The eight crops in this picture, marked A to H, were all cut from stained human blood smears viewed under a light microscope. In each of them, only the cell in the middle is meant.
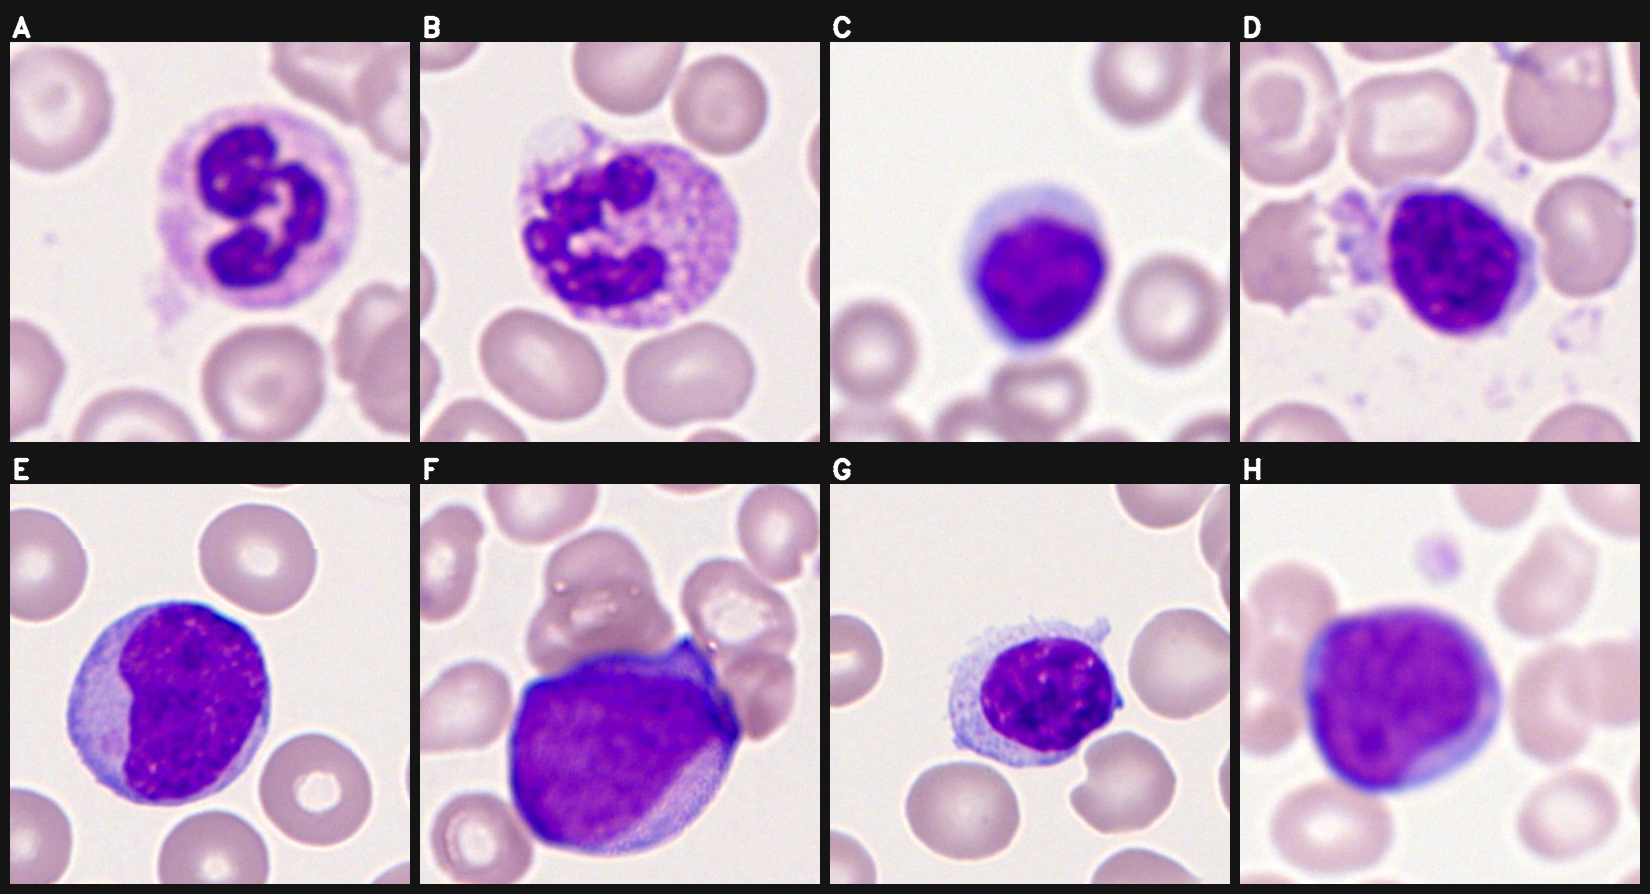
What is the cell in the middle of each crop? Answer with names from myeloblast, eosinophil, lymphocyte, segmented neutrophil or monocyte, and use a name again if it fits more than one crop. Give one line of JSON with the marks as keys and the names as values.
{"A": "segmented neutrophil", "B": "segmented neutrophil", "C": "lymphocyte", "D": "lymphocyte", "E": "myeloblast", "F": "myeloblast", "G": "lymphocyte", "H": "myeloblast"}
